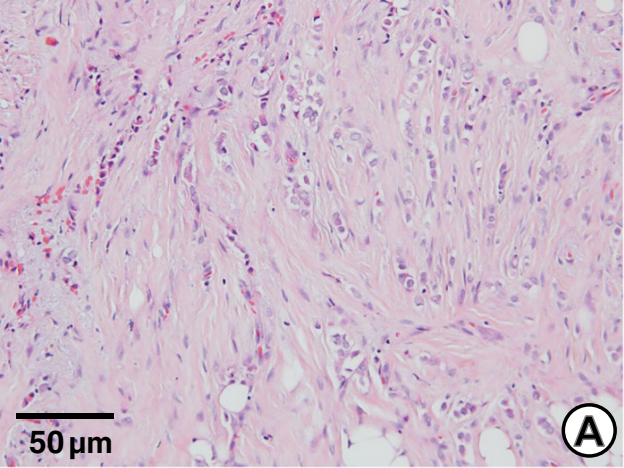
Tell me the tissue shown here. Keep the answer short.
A: Dense fibrous stroma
